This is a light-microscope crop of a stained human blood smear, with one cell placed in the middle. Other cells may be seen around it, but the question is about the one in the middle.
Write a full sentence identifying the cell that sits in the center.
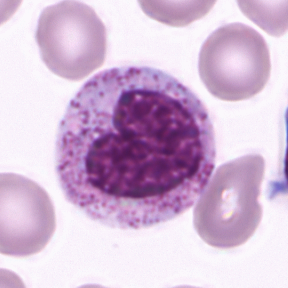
The cell centered in this field of view is a band neutrophil.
